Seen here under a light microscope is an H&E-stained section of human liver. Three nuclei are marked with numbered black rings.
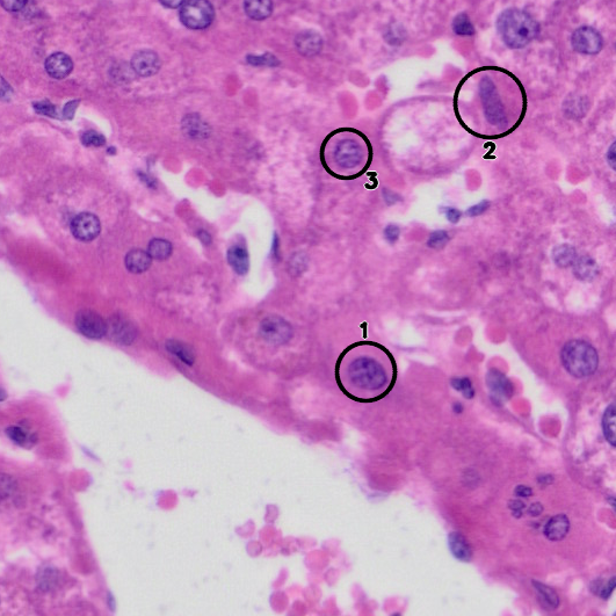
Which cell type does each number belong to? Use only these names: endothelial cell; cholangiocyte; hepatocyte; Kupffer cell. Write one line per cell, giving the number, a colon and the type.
1: hepatocyte
2: Kupffer cell
3: hepatocyte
